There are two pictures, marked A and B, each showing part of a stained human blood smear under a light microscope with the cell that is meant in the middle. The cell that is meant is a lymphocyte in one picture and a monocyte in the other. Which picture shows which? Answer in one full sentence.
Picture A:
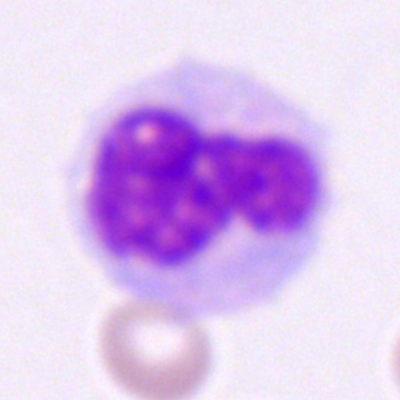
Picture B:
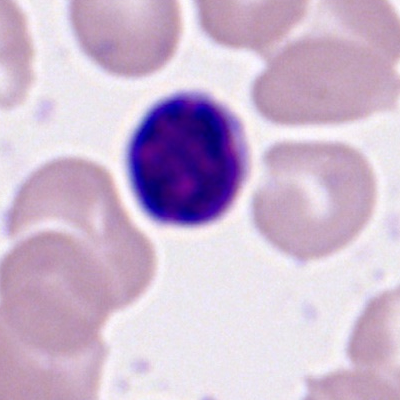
It is picture A that shows a monocyte, and picture B that shows a lymphocyte.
